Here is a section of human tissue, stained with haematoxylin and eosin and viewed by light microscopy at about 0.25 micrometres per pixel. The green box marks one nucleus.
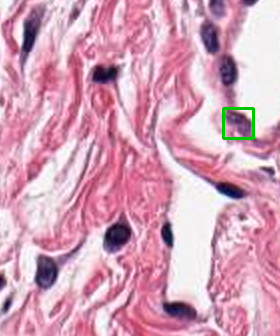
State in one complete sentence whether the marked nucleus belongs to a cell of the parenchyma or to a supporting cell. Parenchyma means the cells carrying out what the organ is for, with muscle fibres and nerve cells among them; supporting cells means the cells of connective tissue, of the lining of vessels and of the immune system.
The marked nucleus is part of a supporting cell.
